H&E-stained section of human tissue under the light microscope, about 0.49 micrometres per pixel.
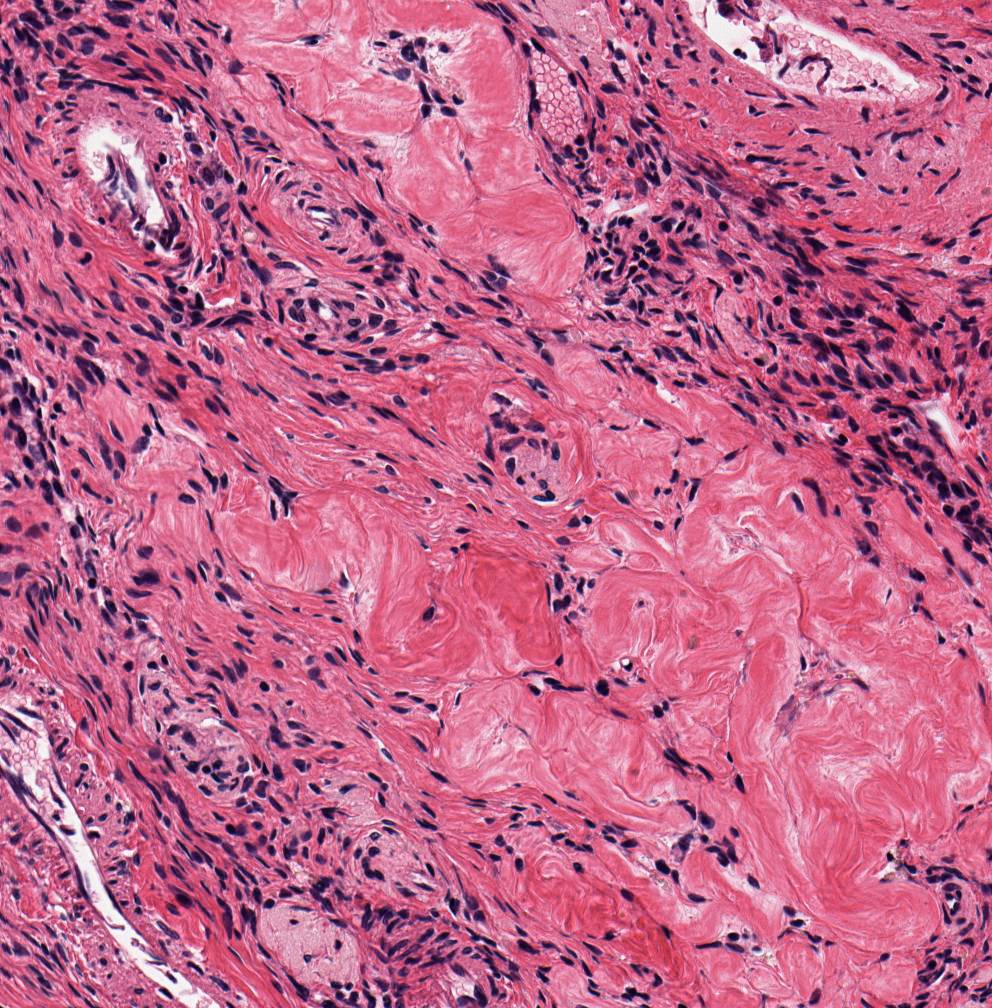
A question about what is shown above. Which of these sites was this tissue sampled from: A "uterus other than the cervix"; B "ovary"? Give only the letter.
B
